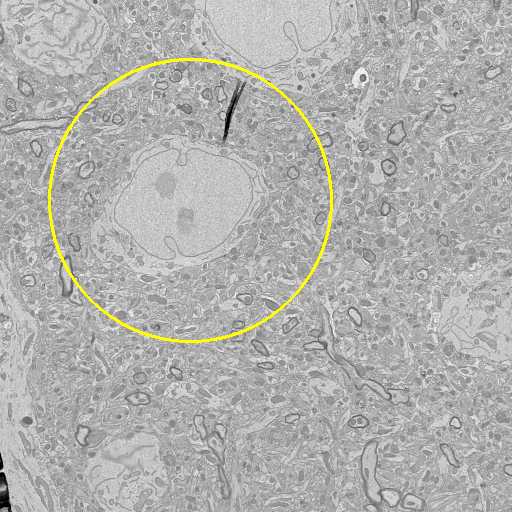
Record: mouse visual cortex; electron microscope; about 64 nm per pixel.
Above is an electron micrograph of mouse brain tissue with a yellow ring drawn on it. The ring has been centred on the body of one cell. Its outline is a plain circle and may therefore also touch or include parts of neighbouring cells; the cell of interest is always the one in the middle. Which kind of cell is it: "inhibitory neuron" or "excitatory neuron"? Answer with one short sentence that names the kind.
The ring's central cell body is that of an excitatory neuron.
